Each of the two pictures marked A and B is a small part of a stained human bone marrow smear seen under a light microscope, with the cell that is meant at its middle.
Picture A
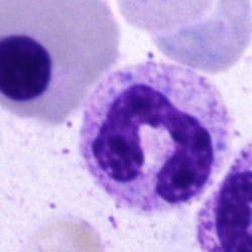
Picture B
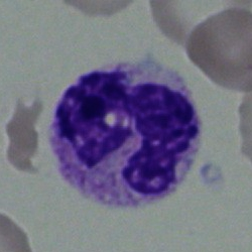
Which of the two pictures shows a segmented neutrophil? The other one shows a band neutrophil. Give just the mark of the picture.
B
